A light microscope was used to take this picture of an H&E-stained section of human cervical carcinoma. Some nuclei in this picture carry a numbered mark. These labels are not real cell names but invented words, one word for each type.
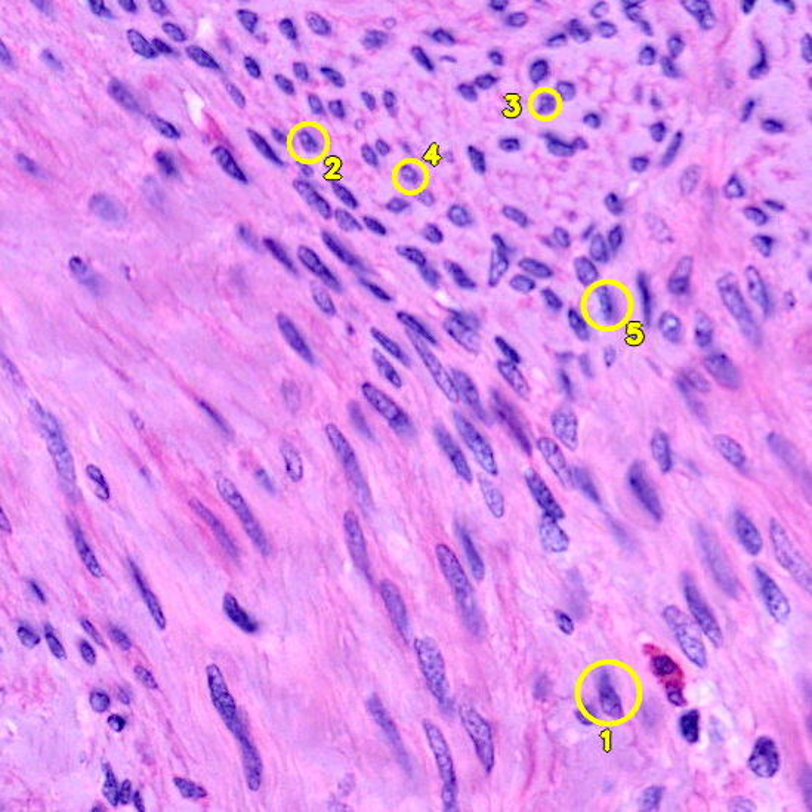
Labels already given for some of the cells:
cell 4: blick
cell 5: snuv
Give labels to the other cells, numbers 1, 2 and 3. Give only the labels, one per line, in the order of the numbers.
snuv
blick
blick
